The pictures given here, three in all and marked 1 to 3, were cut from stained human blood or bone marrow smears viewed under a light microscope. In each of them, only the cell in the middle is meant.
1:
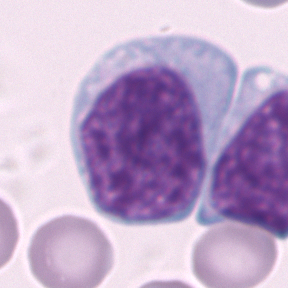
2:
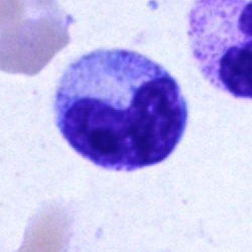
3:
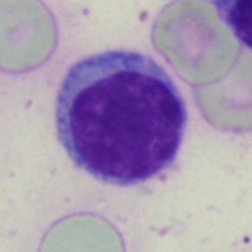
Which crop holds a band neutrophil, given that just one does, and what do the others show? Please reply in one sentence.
The crop marked 2 contains a band neutrophil, while crop 1 is a blast and crop 3 is a lymphocyte.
